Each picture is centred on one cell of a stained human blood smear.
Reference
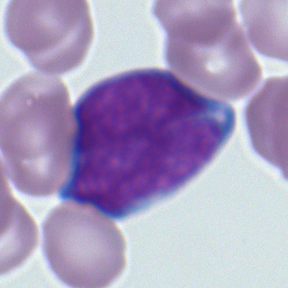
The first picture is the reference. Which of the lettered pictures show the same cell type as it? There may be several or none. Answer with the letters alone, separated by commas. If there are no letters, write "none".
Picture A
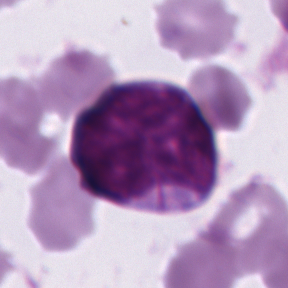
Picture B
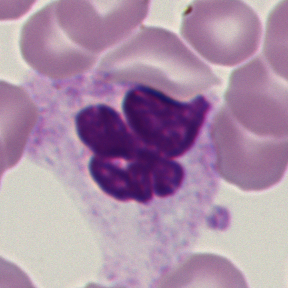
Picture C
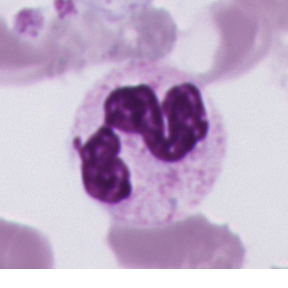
A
